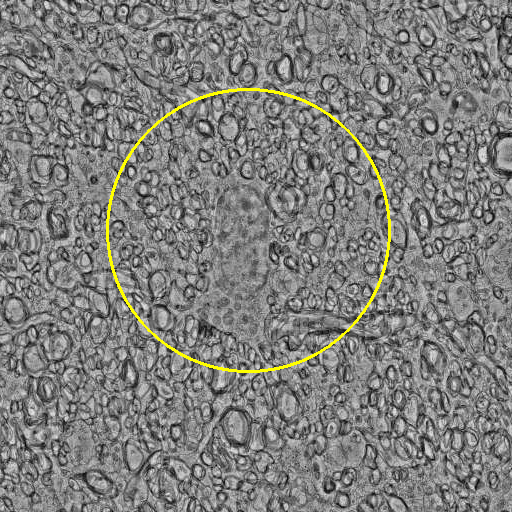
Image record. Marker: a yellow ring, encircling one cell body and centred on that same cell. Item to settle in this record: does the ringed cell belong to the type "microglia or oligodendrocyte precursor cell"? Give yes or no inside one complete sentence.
No, in the picture, the cell centred within the yellow ring is of a different type.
